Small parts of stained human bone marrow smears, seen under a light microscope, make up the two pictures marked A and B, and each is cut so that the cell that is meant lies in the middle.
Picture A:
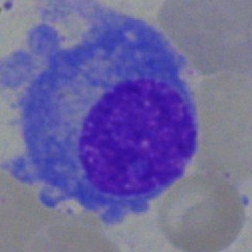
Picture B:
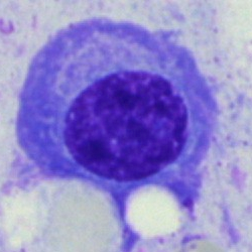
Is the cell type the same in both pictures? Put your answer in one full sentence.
Yes, both cells are plasma cells.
